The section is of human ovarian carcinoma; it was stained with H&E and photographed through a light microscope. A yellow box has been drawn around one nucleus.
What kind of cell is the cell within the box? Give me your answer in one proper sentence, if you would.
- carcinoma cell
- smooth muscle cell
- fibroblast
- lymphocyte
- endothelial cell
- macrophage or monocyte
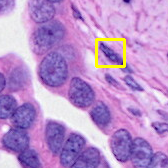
As a matter of cell type, the cell within the box is a fibroblast.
